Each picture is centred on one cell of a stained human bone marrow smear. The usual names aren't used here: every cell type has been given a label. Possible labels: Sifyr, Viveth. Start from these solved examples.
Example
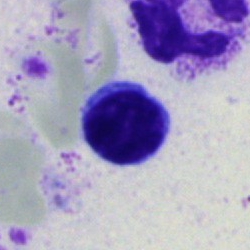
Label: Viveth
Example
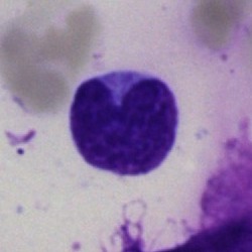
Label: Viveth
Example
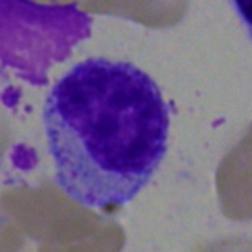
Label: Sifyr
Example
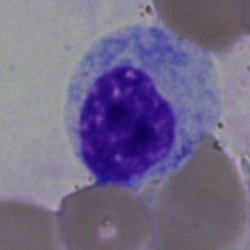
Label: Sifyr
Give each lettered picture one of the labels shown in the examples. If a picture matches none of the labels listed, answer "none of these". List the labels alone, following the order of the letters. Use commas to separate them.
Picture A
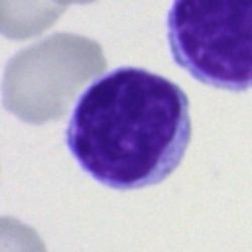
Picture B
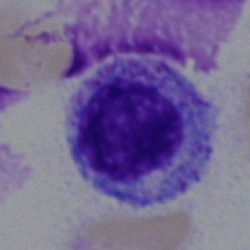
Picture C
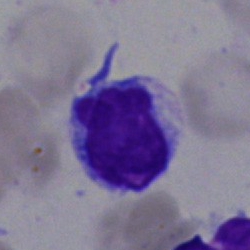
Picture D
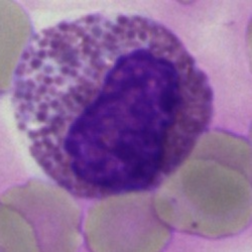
Viveth, Sifyr, Viveth, none of these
